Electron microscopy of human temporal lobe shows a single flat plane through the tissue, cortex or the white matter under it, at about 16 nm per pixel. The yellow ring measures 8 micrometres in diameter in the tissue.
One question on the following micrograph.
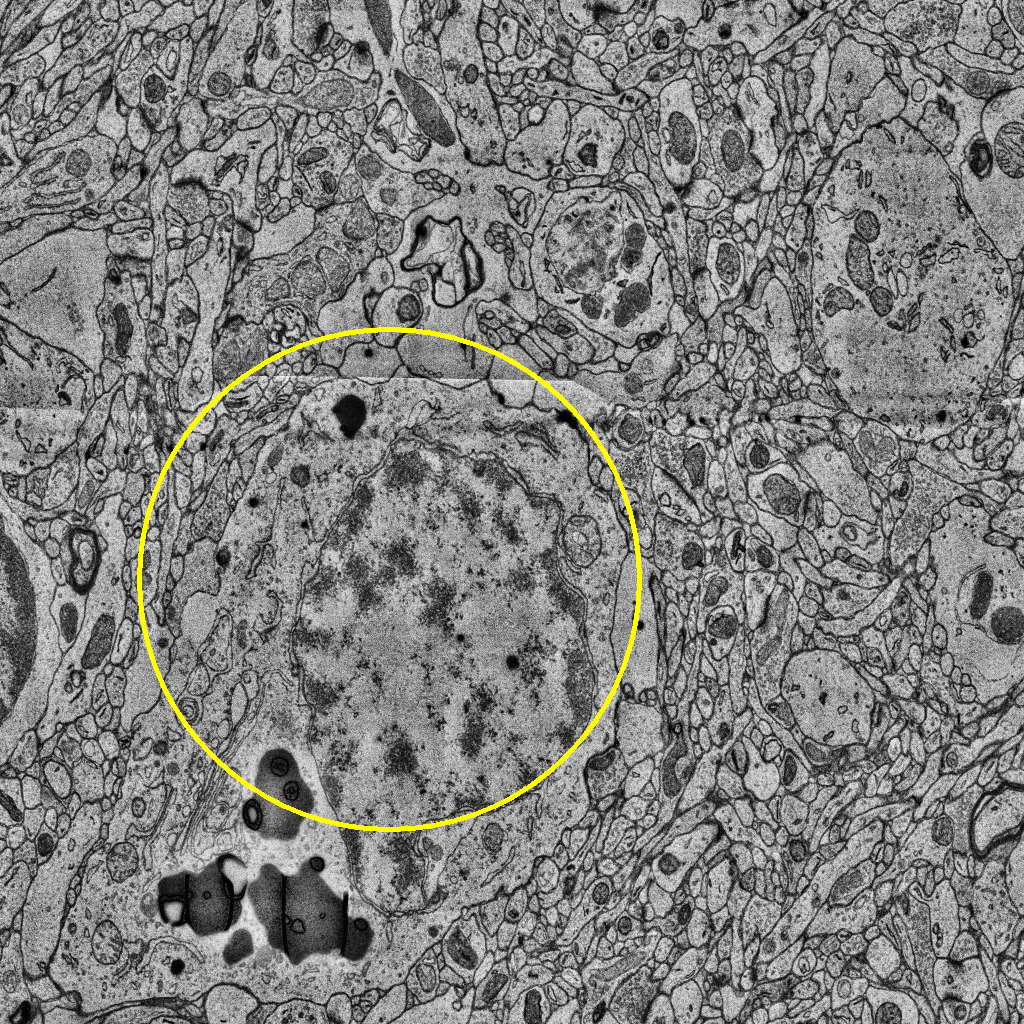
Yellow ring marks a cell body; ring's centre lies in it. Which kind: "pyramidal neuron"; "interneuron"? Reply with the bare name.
interneuron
